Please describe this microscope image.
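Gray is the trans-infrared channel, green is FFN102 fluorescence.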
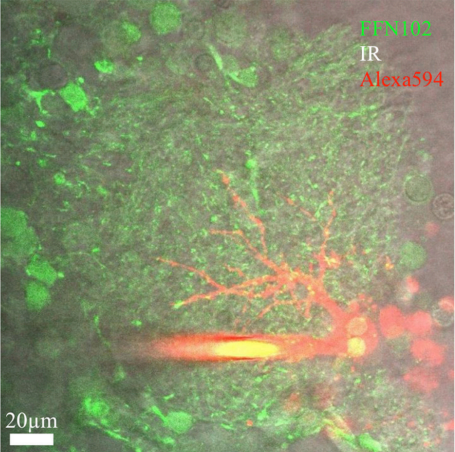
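This is the neuropil of an olfactory bulb glomerulus, a roughly round field of fine green puncta and fibres, with rounded cell bodies lying around its borders. One neuron at the right edge of the field has been filled in red: from its small cell body a tuft of thin, beaded, branching processes spreads up and to the left into the neuropil.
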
